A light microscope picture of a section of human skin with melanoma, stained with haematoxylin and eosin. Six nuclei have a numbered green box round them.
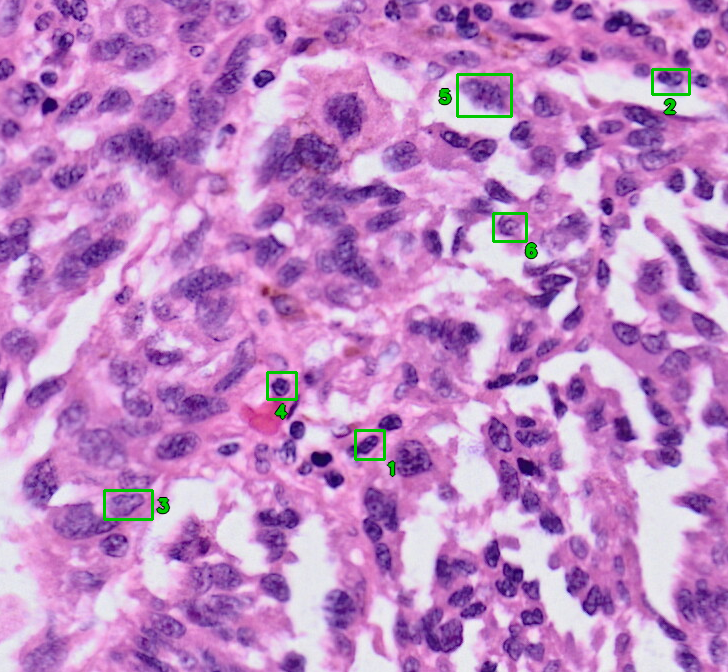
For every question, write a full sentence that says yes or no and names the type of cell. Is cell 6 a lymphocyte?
No, it is a melanoma cell, not a lymphocyte, that number 6 marks.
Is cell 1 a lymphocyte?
Yes, for number 1, the cell is a lymphocyte.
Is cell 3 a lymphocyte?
No, at number 3 sits a melanoma cell, not a lymphocyte.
